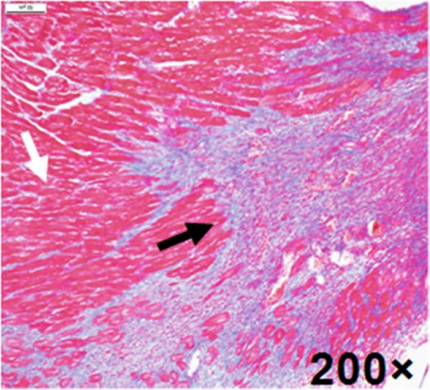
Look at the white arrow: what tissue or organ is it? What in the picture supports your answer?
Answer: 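Viable muscle tissues. The white arrow lies over long parallel red fibres. The fibres are red, away from the blue band.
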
